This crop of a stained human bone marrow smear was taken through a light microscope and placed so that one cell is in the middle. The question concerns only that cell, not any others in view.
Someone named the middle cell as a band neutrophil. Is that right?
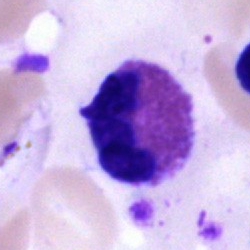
no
